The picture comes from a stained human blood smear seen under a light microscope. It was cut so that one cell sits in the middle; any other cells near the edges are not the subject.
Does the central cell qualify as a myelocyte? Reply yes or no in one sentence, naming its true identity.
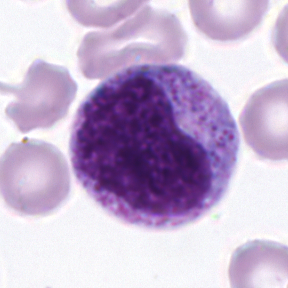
Yes, the middle cell is classified as a myelocyte.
